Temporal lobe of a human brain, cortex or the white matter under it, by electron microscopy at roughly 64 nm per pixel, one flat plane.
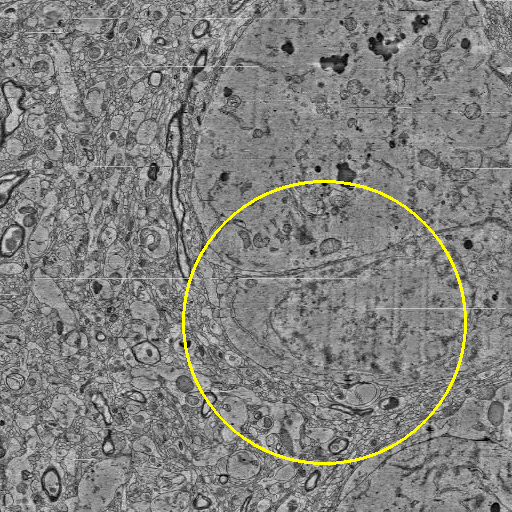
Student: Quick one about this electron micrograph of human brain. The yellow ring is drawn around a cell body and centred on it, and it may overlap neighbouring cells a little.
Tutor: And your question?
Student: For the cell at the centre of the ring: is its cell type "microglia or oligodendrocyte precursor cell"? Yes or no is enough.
no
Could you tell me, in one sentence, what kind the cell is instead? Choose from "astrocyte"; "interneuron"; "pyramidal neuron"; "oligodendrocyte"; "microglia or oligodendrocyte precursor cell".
Instead, the cell inside the ring is an interneuron.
